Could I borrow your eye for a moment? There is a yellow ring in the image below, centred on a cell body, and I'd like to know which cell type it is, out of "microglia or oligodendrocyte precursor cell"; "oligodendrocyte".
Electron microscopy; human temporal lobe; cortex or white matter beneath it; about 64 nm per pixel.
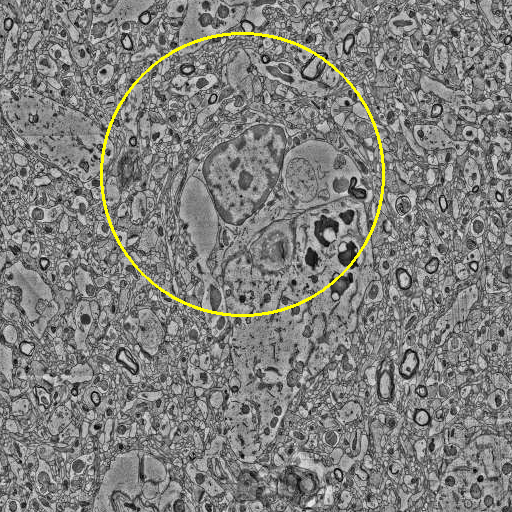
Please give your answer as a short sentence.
The cell body at the centre is that of a microglial cell or oligodendrocyte precursor cell.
